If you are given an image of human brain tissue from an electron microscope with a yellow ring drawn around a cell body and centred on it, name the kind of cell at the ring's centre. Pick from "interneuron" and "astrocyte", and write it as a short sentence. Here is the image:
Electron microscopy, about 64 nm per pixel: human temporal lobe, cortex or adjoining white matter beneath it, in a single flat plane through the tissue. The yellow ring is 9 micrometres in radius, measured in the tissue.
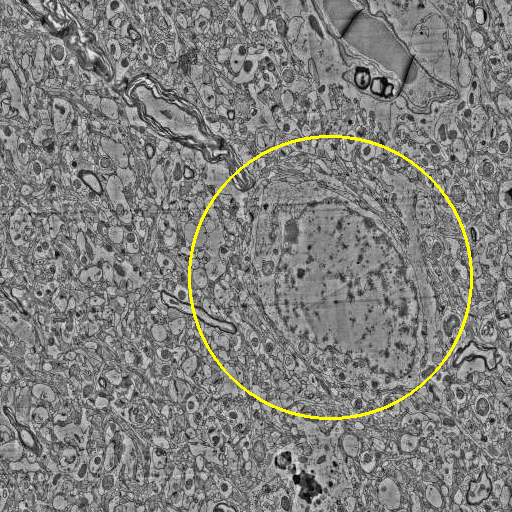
The cell at the ring's centre is an interneuron.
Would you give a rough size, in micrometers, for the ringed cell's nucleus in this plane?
The nucleus comes to roughly 12 by 9 micrometres in this plane.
